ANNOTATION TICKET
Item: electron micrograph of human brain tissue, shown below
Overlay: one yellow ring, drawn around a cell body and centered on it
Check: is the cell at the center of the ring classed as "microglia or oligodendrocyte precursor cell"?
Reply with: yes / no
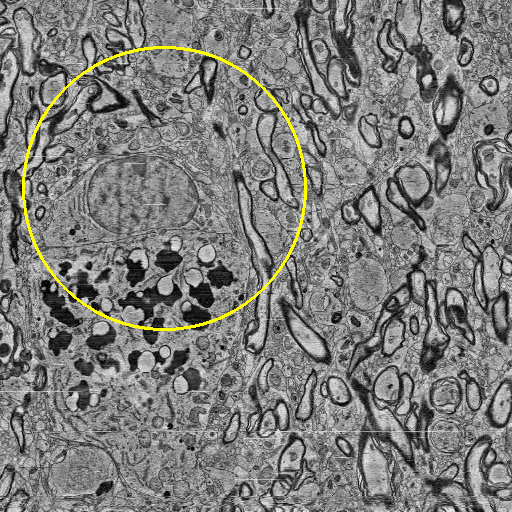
yes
